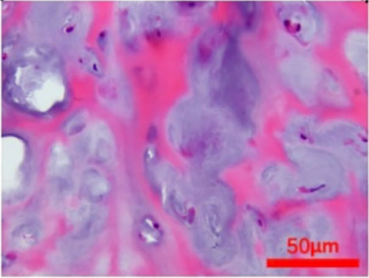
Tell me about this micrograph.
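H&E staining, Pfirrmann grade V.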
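Intervertebral disc matrix at higher magnification, with intensely pink, eosinophilic bands of dense matrix running between irregular islands of pale purple-grey, basophilic matrix. Small cells with dark, compact nuclei sit singly in clear lacunae scattered through the purple islands and along the edges of the pink bands. The purple islands have rounded, lobulated outlines, and a few empty rounded clefts and spaces interrupt the tissue. Cells are sparse relative to the amount of matrix, and the pink and purple components interlock in a disorganized pattern rather than forming regular parallel layers.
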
